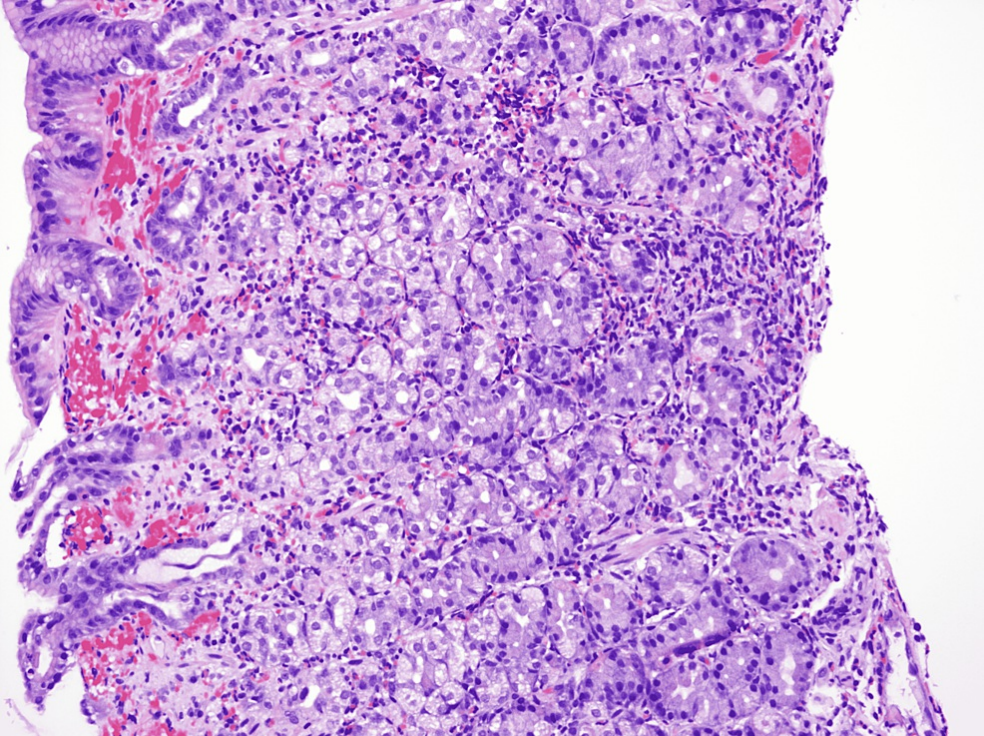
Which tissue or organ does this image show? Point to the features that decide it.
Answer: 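Closely packed glands of pale-pink granular cells with round central nuclei fill most of the field. A surface layer of tall columnar epithelium with pale apical cytoplasm lines the left edge. That points to this answer: gastric body mucosa.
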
